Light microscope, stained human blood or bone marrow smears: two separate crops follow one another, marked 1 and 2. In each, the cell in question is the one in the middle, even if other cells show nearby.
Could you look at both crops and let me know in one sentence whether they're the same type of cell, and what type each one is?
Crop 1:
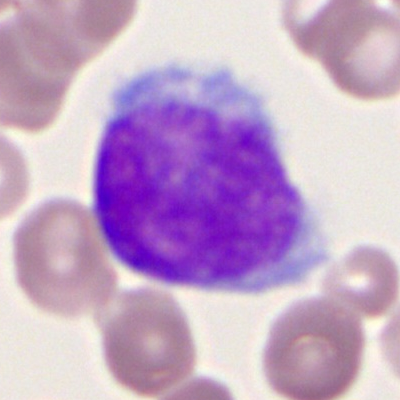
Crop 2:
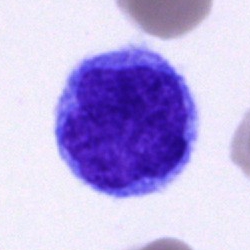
Yes, blasts are the central cells in the two crops.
